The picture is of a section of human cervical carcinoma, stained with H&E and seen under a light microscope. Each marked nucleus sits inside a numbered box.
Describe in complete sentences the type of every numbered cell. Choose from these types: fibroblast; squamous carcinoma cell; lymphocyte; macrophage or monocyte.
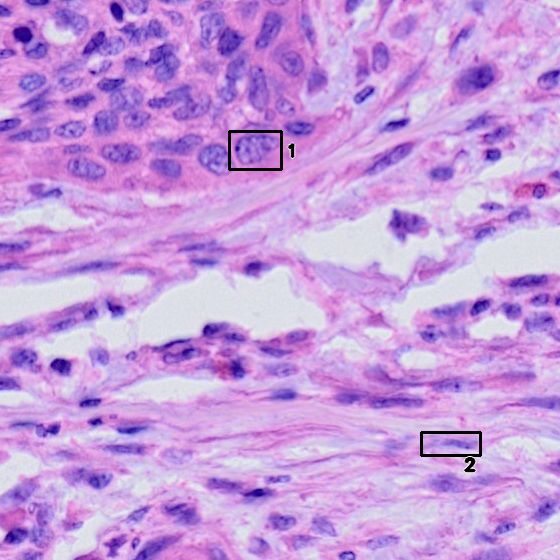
Cell 1 is a squamous carcinoma cell and cell 2 is a fibroblast.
